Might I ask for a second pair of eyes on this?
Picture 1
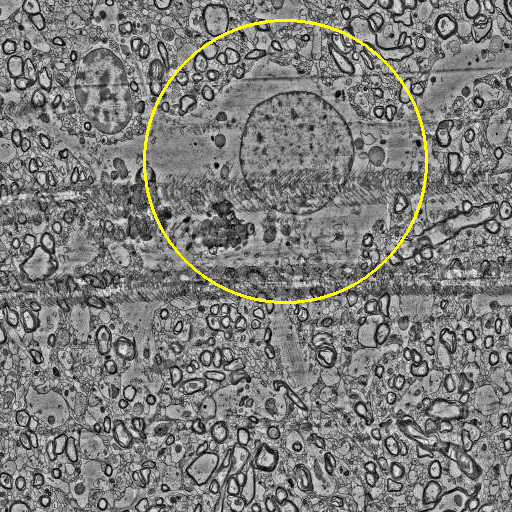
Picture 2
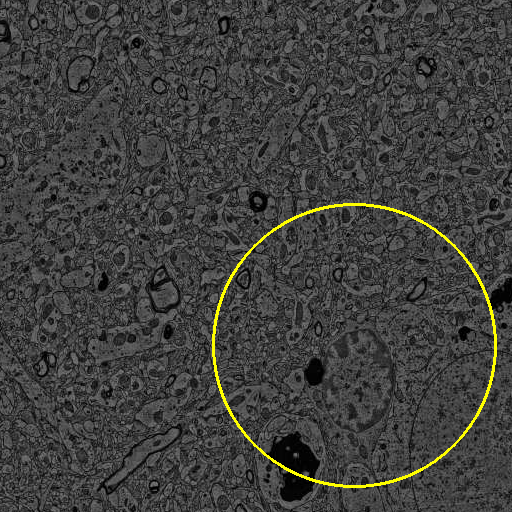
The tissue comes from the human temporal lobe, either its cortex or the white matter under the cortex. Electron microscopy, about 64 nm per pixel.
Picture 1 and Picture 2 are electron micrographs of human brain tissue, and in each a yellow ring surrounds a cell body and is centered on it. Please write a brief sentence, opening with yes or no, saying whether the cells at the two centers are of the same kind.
No, the cells are of two kinds.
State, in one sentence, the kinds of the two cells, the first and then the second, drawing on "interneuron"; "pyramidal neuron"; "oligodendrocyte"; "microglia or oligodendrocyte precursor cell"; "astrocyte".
The ring in the second picture is centred on an oligodendrocyte, the ring in the first on an astrocyte.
